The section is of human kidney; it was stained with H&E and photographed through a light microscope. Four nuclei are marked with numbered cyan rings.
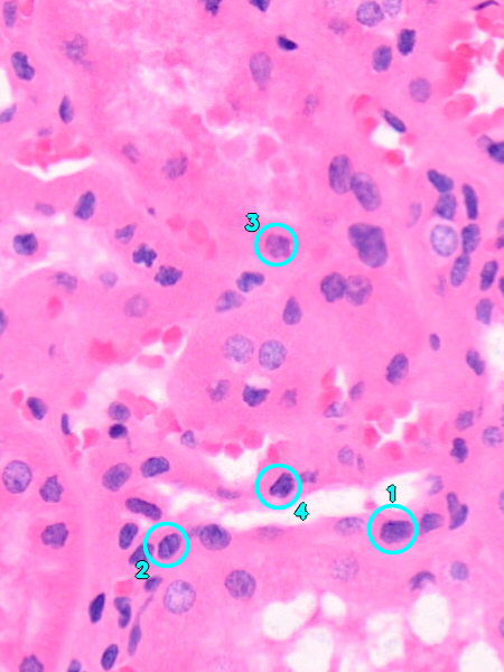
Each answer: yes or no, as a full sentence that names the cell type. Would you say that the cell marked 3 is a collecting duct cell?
No, calling cell 3 a collecting duct cell is incorrect; it is a proximal tubule cell.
